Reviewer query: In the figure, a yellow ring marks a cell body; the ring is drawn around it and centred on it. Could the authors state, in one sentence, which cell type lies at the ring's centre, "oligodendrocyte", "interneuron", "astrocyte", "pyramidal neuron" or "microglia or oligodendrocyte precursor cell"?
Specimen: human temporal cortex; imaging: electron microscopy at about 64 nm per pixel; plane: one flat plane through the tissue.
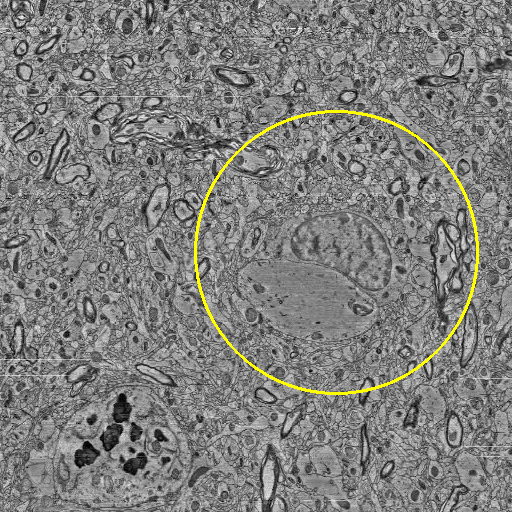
The ring is centred on an oligodendrocyte.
